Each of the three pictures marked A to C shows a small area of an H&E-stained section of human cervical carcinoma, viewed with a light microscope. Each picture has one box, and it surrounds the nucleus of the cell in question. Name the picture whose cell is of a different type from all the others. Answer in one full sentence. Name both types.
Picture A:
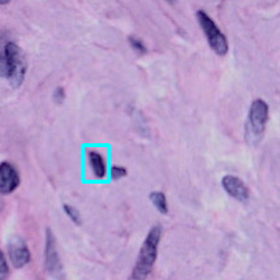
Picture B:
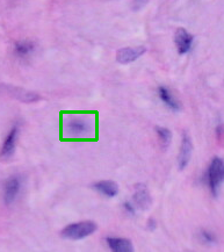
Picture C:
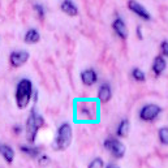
Unlike the rest, which show fibroblasts, picture C shows a smooth muscle cell.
